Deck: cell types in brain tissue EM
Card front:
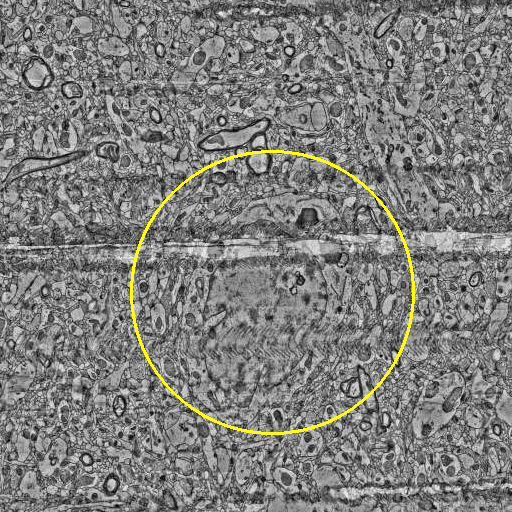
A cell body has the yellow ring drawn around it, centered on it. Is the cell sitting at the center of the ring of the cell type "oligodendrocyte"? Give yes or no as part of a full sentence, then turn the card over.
No, on this card the yellow ring is centered on a cell of a different type.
